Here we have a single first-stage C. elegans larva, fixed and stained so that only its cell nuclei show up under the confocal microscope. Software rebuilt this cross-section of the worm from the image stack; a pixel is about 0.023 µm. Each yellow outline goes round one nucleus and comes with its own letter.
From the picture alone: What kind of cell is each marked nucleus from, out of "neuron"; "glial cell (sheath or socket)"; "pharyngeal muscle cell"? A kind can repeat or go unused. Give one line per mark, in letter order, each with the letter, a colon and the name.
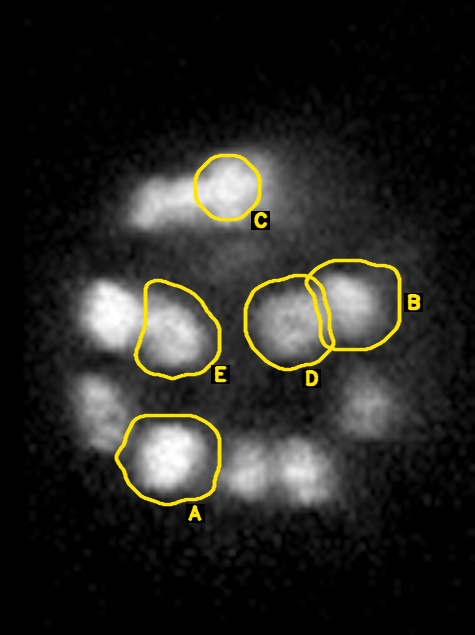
A: neuron
B: neuron
C: neuron
D: pharyngeal muscle cell
E: pharyngeal muscle cell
